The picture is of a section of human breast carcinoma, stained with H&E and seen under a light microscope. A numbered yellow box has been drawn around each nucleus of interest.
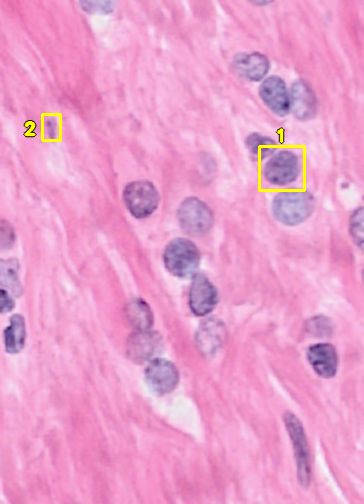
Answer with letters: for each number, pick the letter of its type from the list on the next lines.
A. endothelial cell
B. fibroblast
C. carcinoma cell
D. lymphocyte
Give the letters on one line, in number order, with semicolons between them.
C; B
